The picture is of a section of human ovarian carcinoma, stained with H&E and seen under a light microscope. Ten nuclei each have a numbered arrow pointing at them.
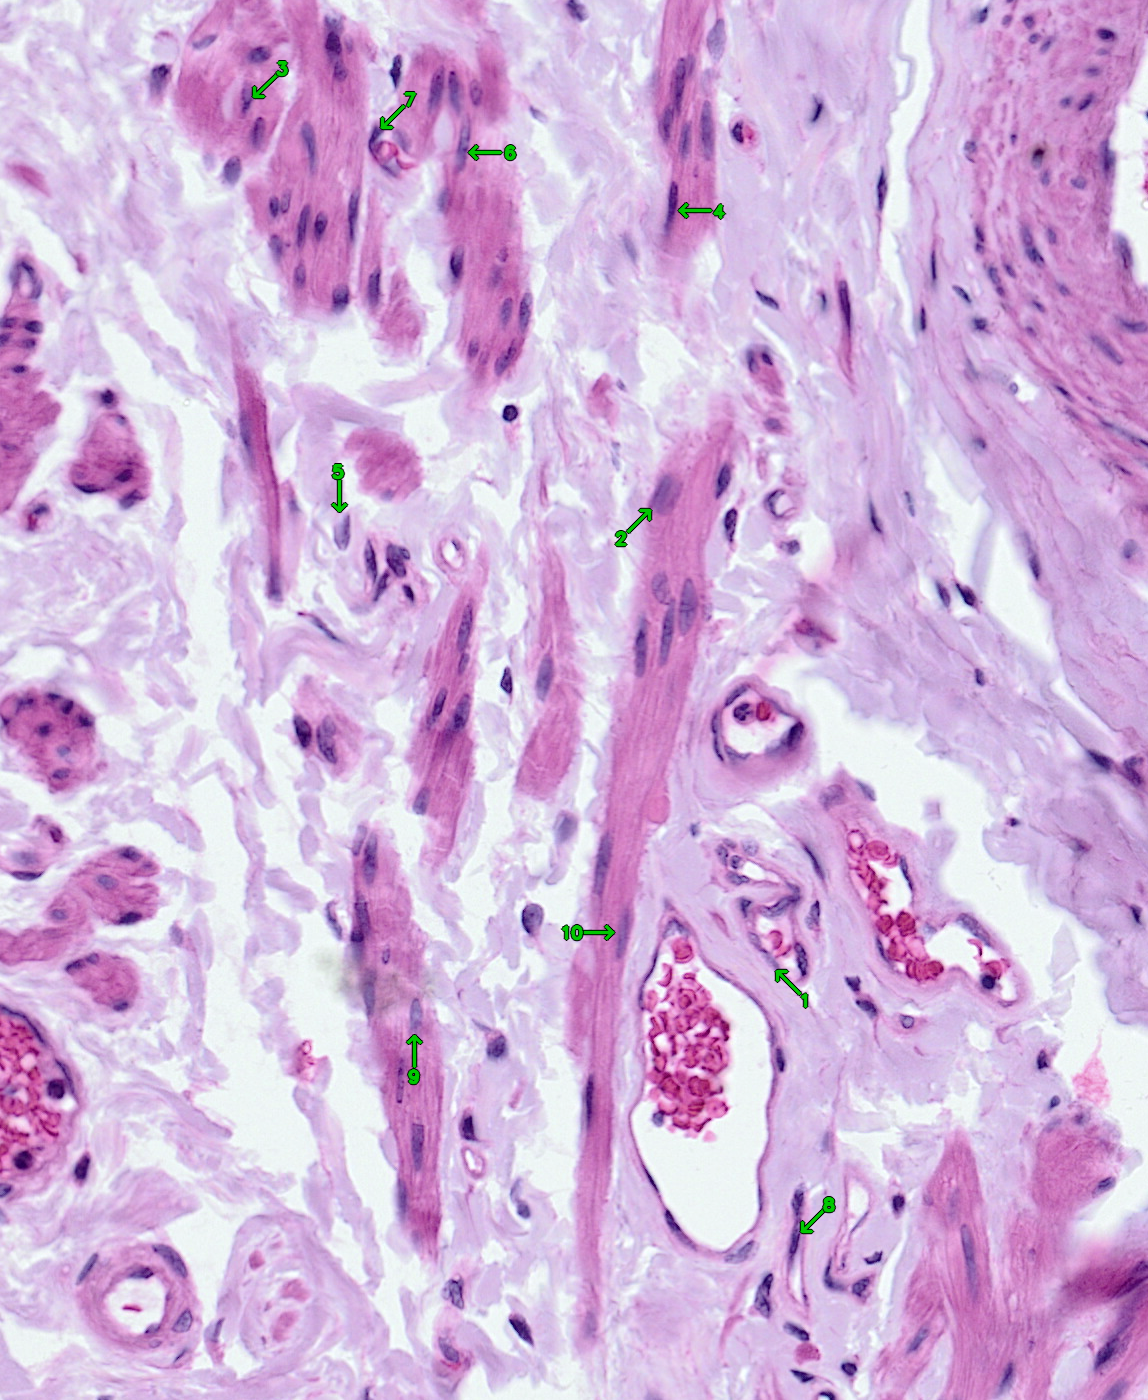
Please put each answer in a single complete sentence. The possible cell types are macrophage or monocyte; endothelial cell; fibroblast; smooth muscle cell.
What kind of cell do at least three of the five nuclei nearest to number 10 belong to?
The majority of the five nuclei closest to number 10 belong to endothelial cells.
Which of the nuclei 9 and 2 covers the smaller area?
It is nucleus 9; nucleus 2 has about 2.5 times its area.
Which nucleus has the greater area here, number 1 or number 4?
Of the two, number 4 is bigger and takes up about 2 times the area of number 1.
